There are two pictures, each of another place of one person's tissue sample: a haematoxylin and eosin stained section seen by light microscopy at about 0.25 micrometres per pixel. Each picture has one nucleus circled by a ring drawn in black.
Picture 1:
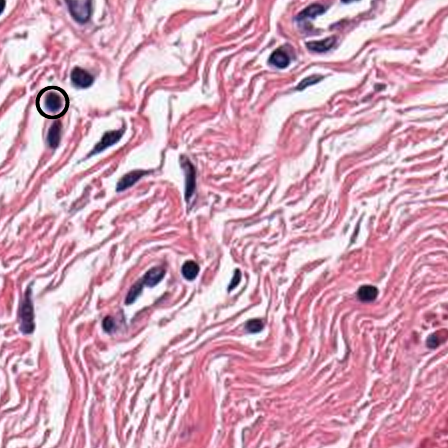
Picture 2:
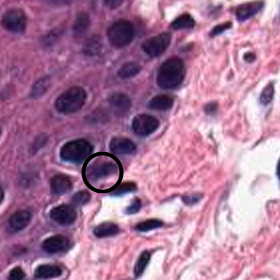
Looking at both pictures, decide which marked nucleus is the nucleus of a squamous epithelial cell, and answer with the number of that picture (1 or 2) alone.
2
